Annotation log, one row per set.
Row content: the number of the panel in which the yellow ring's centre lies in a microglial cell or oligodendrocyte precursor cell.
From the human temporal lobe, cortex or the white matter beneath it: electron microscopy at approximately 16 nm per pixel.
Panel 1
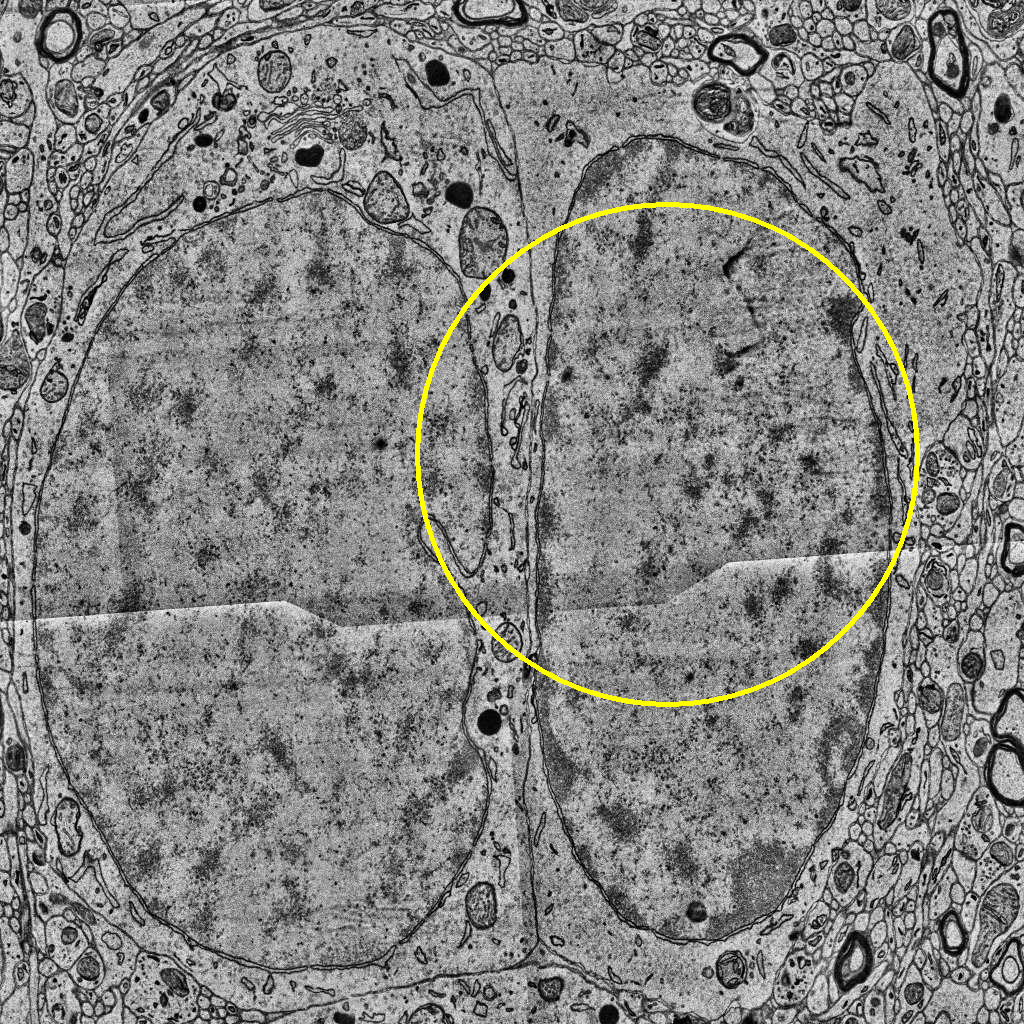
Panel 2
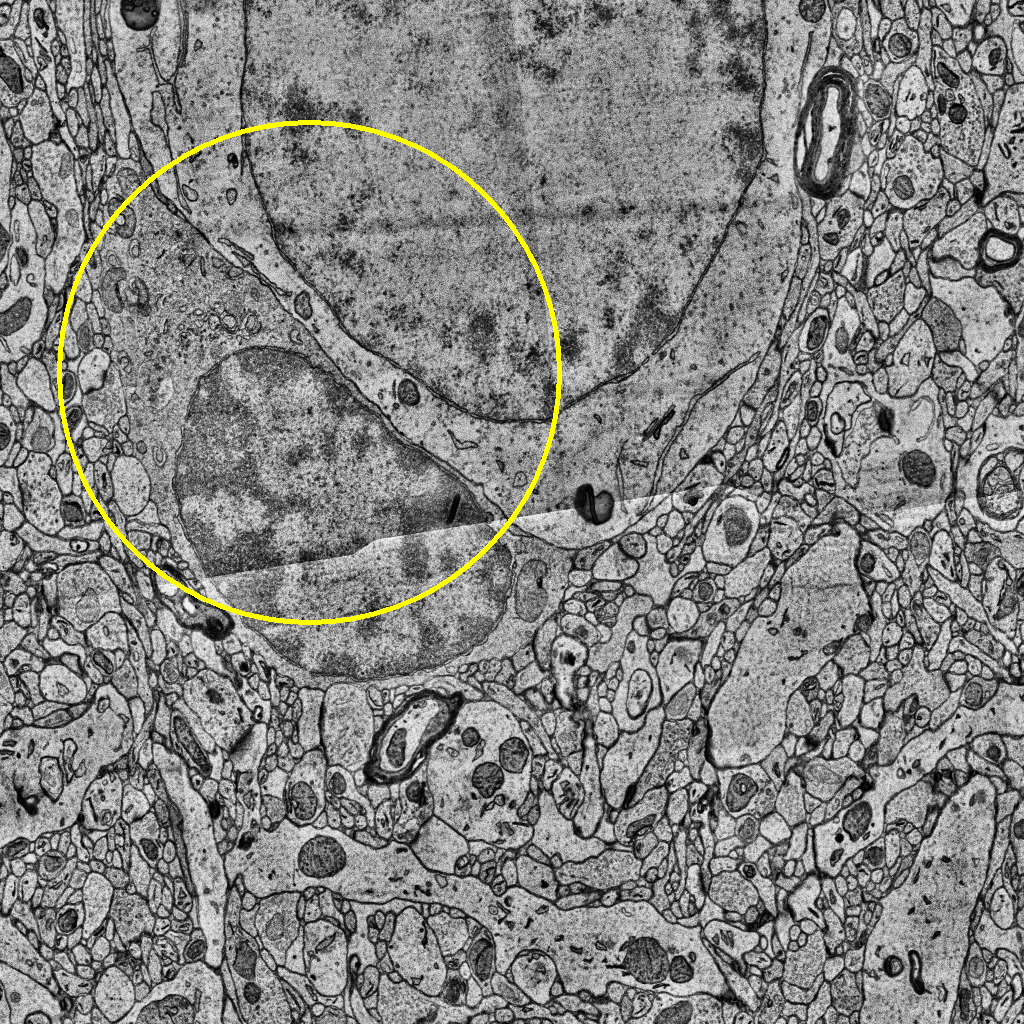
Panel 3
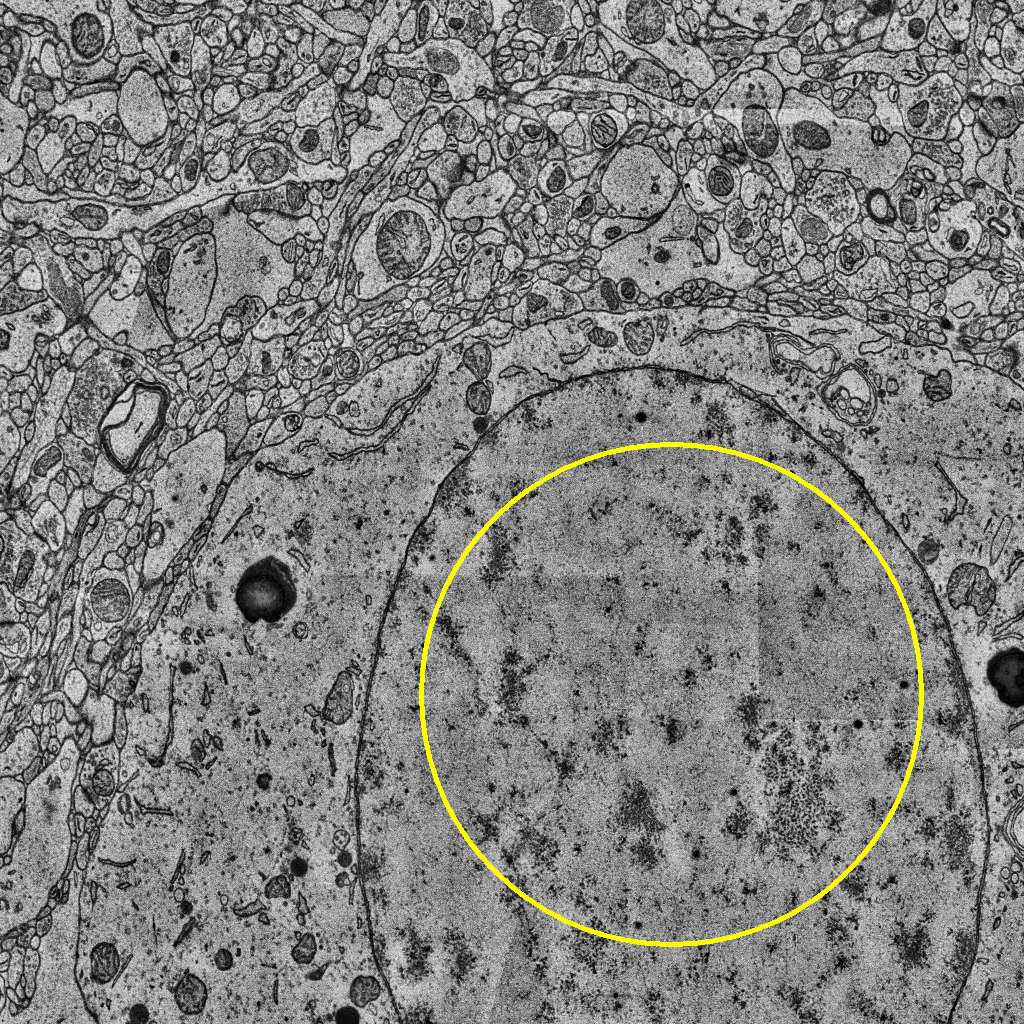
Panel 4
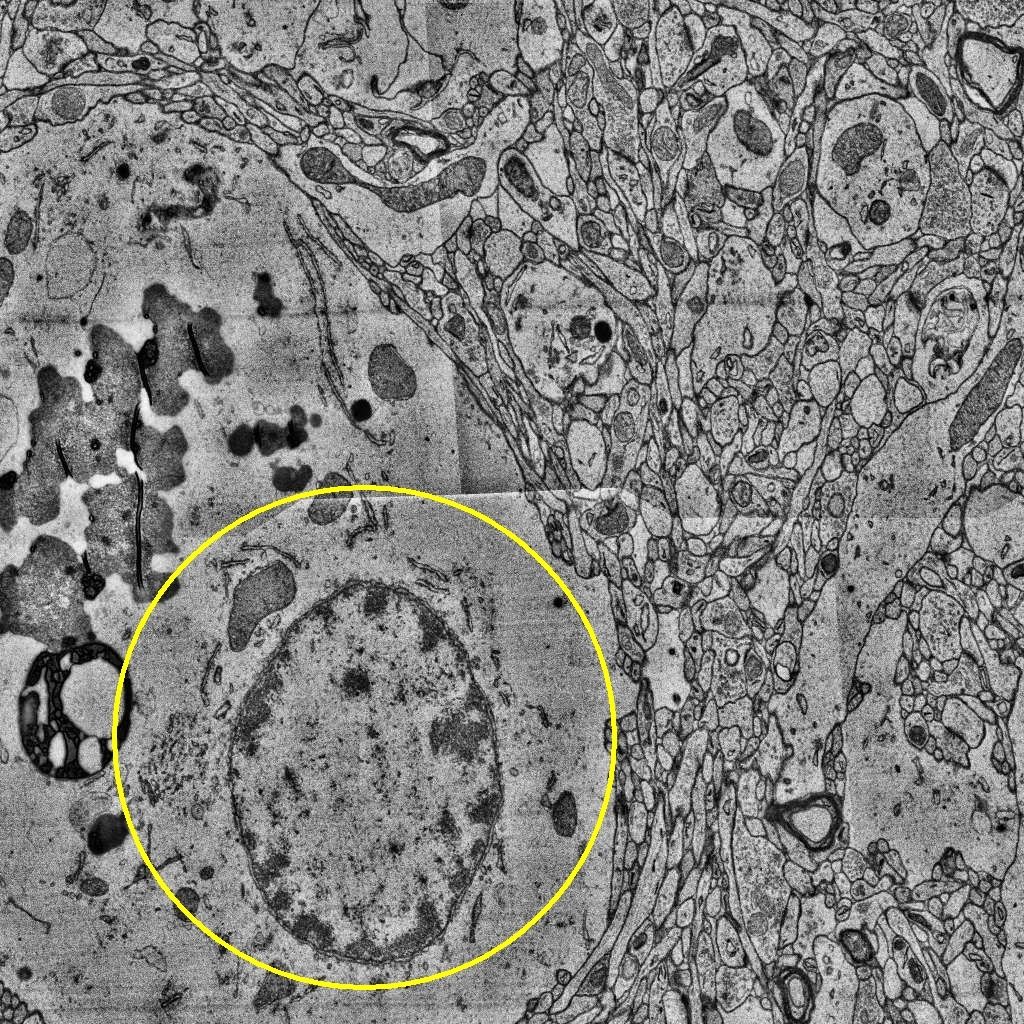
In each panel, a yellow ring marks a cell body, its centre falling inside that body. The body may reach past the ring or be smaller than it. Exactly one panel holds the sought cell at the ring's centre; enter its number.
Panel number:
1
